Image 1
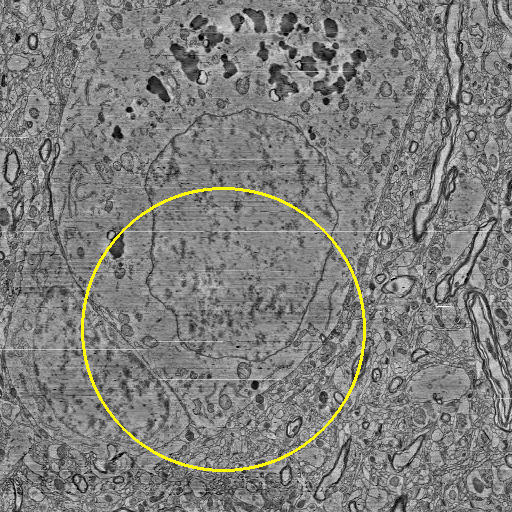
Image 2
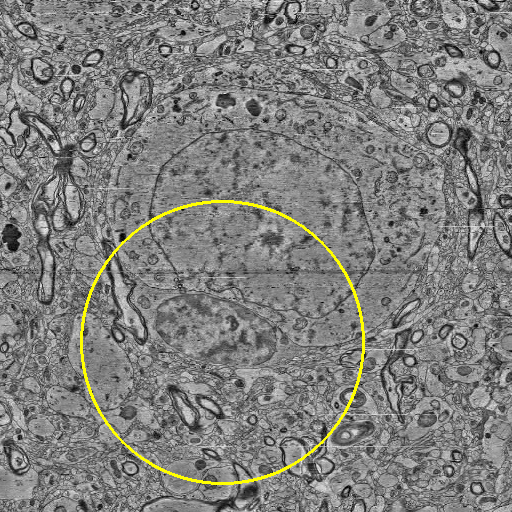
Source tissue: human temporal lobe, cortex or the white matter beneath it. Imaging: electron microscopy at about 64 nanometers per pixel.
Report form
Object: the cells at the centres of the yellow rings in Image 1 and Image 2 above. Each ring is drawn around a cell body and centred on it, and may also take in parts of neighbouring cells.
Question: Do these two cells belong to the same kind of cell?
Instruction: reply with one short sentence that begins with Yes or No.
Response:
No, they belong to two kinds of cell.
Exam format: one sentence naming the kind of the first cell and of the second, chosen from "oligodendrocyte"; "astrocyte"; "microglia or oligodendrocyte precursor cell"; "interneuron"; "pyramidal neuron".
The first picture's cell is a pyramidal neuron, and the second picture's cell is an oligodendrocyte.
